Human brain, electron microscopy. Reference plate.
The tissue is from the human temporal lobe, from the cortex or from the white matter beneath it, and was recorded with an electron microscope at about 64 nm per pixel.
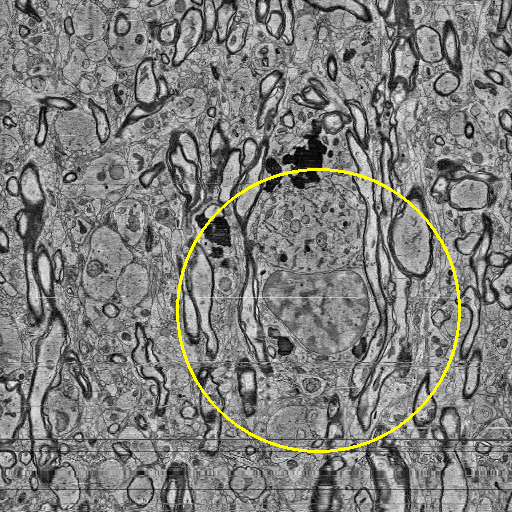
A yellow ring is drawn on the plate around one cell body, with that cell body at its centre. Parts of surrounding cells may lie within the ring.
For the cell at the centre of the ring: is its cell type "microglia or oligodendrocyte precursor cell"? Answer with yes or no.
Yes, that is its cell type.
